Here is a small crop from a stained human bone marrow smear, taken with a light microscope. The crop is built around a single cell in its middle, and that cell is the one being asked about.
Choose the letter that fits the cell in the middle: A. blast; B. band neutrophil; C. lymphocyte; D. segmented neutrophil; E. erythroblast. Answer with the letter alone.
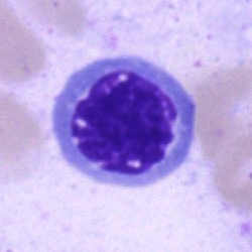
E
